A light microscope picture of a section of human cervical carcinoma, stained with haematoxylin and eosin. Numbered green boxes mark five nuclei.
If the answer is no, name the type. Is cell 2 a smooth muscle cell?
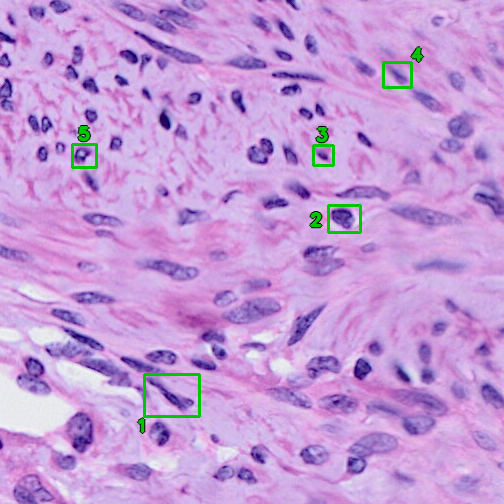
No, it is a lymphocyte.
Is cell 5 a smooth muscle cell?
Yes.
